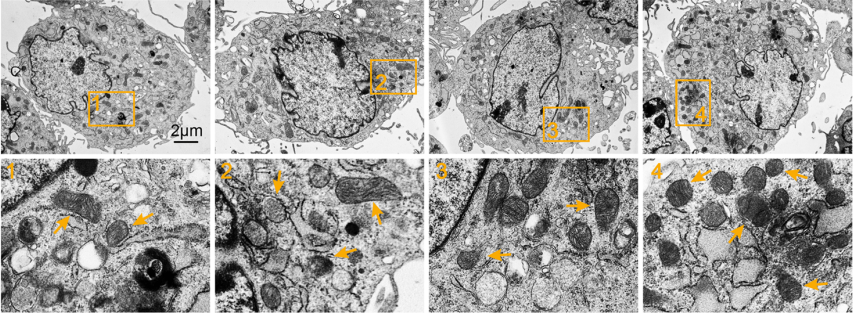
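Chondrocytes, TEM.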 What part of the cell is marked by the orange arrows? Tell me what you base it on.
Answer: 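The arrows point to oval, membrane-bound organelles in the cytoplasm. These organelles have dense matrix crossed by inner folds (cristae). They lie outside the nucleus, scattered among other vesicles. On this evidence: individual mitochondrion.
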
